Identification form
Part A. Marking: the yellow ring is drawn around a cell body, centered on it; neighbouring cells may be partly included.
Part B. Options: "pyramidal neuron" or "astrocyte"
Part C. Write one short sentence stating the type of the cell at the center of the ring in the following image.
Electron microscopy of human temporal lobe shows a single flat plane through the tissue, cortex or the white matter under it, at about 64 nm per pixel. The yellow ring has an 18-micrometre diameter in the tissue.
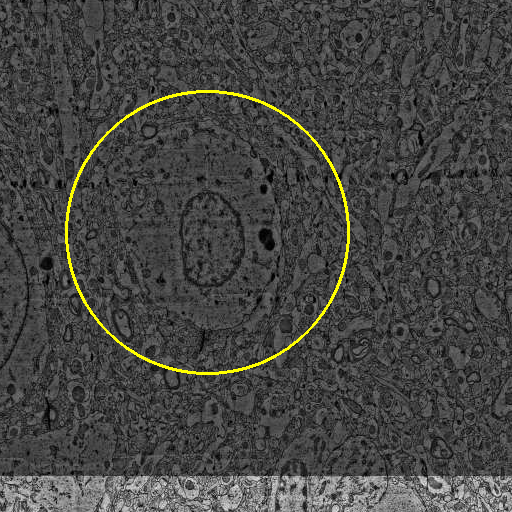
The center of the ring holds a pyramidal neuron.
